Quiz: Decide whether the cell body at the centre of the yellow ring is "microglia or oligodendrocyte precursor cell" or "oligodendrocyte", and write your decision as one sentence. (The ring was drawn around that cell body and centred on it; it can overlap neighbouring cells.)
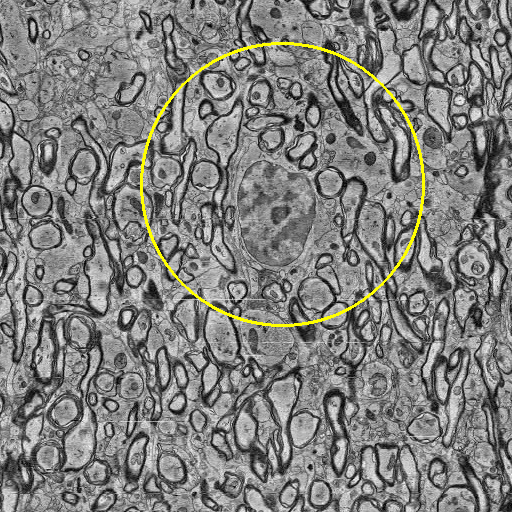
The cell the ring is centred on is a microglial cell or oligodendrocyte precursor cell.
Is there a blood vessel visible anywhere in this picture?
No, none is visible.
